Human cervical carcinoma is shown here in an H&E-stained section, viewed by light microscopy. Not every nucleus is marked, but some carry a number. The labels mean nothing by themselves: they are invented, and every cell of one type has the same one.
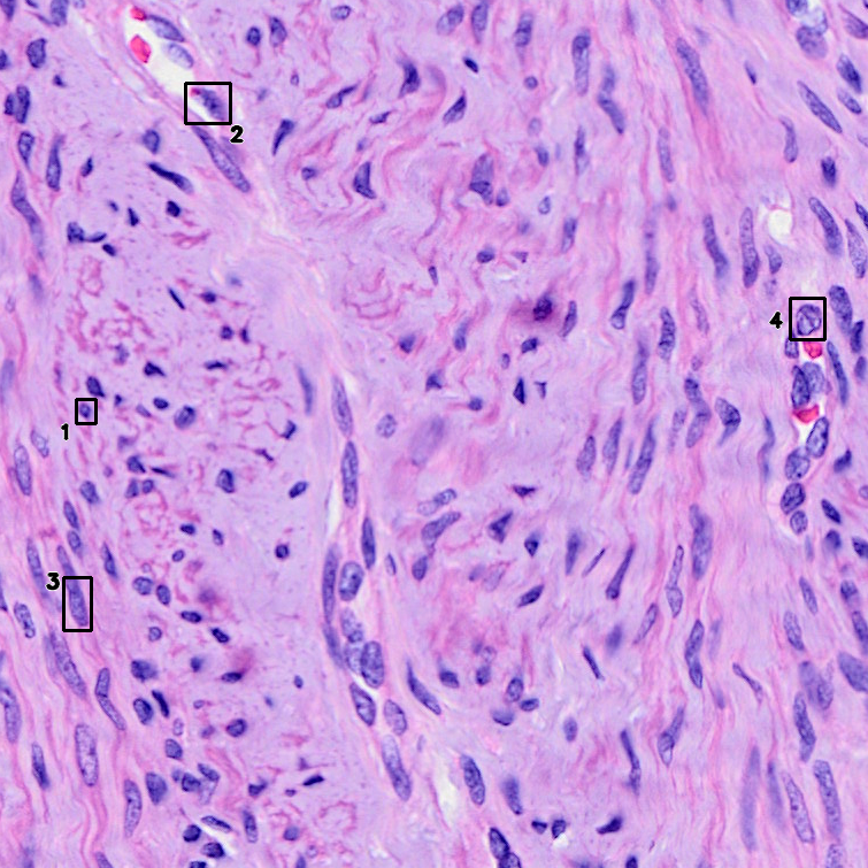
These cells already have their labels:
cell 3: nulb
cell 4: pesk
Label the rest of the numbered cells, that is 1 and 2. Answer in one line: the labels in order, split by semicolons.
nulb; pesk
